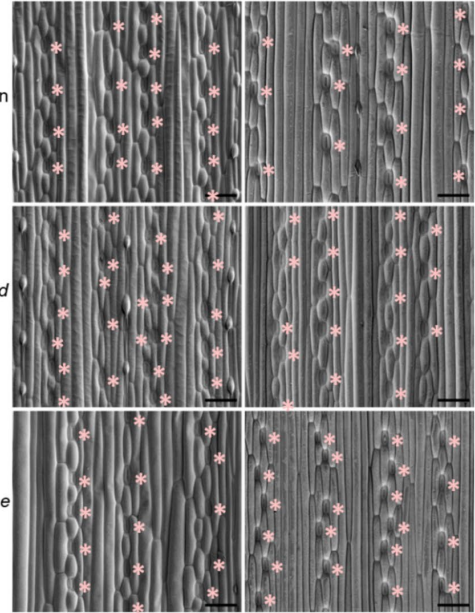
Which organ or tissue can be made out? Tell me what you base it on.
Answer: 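Long, narrow cells run in parallel files across the surface. Rows of pore complexes alternate with files of elongated cells. That points to this answer: leaf surface.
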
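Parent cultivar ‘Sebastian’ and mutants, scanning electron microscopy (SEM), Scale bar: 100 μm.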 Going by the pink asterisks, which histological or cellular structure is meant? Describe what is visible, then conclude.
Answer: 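Stomata. Each asterisk sits beside a small oval pore complex. The marked complexes lie in straight longitudinal files between long epidermal cells.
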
